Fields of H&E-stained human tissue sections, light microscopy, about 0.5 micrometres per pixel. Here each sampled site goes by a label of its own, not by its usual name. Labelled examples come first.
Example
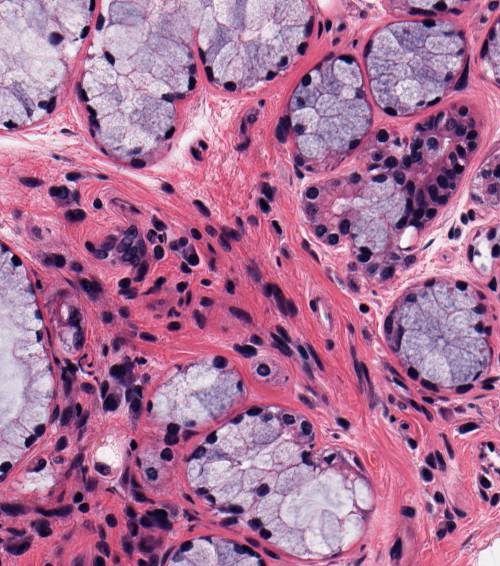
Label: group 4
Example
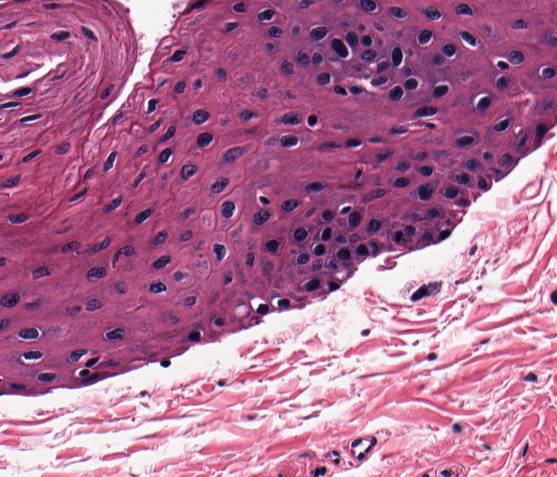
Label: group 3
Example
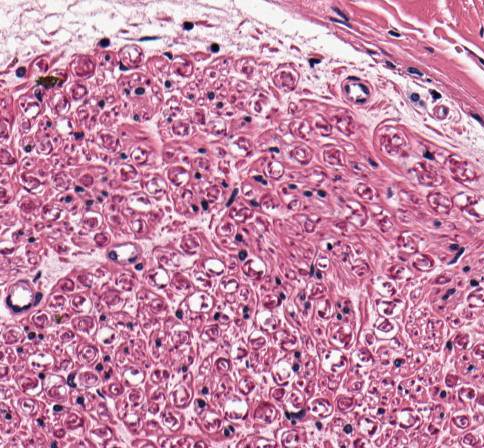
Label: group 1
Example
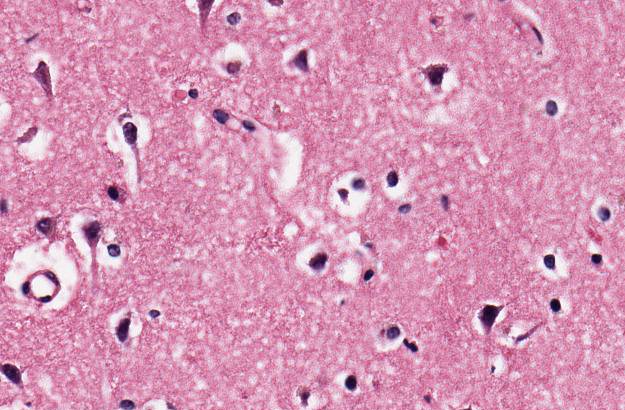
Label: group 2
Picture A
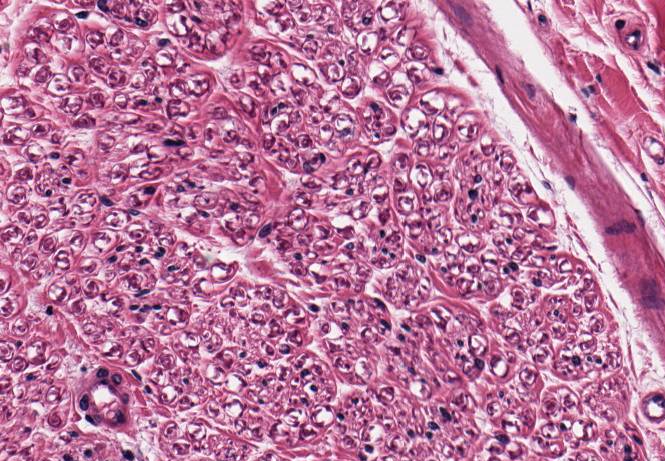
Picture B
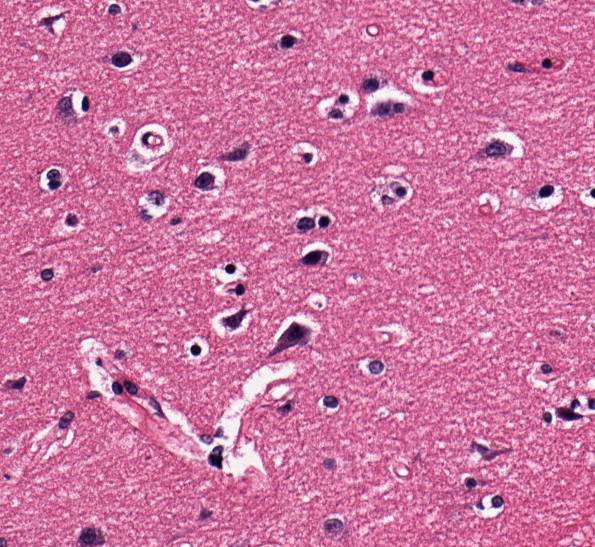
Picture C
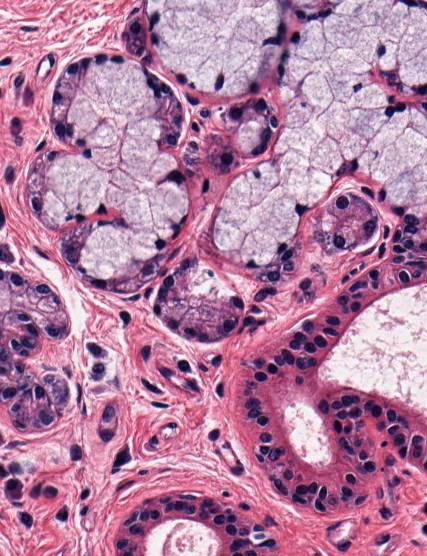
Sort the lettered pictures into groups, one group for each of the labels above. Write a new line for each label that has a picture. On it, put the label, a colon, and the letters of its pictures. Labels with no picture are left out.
group 4: C
group 1: A
group 2: B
